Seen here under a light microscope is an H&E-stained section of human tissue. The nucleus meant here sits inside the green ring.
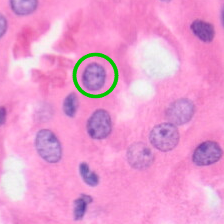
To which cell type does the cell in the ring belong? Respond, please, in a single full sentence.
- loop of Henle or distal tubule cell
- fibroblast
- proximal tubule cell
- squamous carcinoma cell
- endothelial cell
The cell type represented by the cell in the ring is that of a proximal tubule cell.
